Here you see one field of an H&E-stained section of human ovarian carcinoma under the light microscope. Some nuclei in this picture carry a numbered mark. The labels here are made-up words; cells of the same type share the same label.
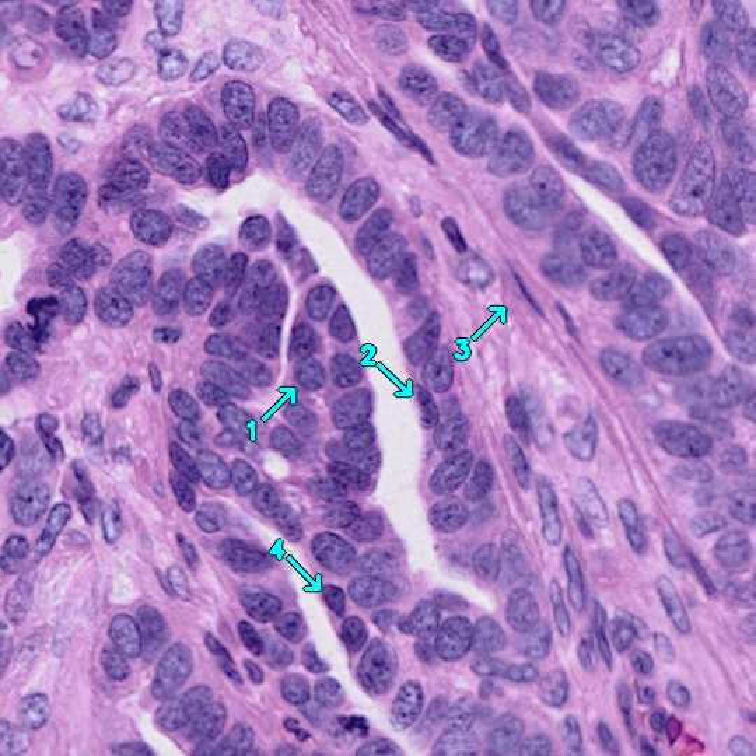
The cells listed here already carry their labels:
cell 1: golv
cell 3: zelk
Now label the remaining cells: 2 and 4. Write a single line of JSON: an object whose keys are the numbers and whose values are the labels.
{"2": "golv", "4": "golv"}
